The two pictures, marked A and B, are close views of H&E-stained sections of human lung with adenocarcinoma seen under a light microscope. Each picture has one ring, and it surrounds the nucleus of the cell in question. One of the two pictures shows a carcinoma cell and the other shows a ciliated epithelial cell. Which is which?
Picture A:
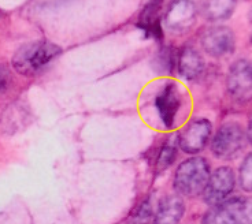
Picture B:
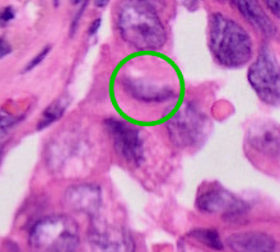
A: ciliated epithelial cell
B: carcinoma cell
